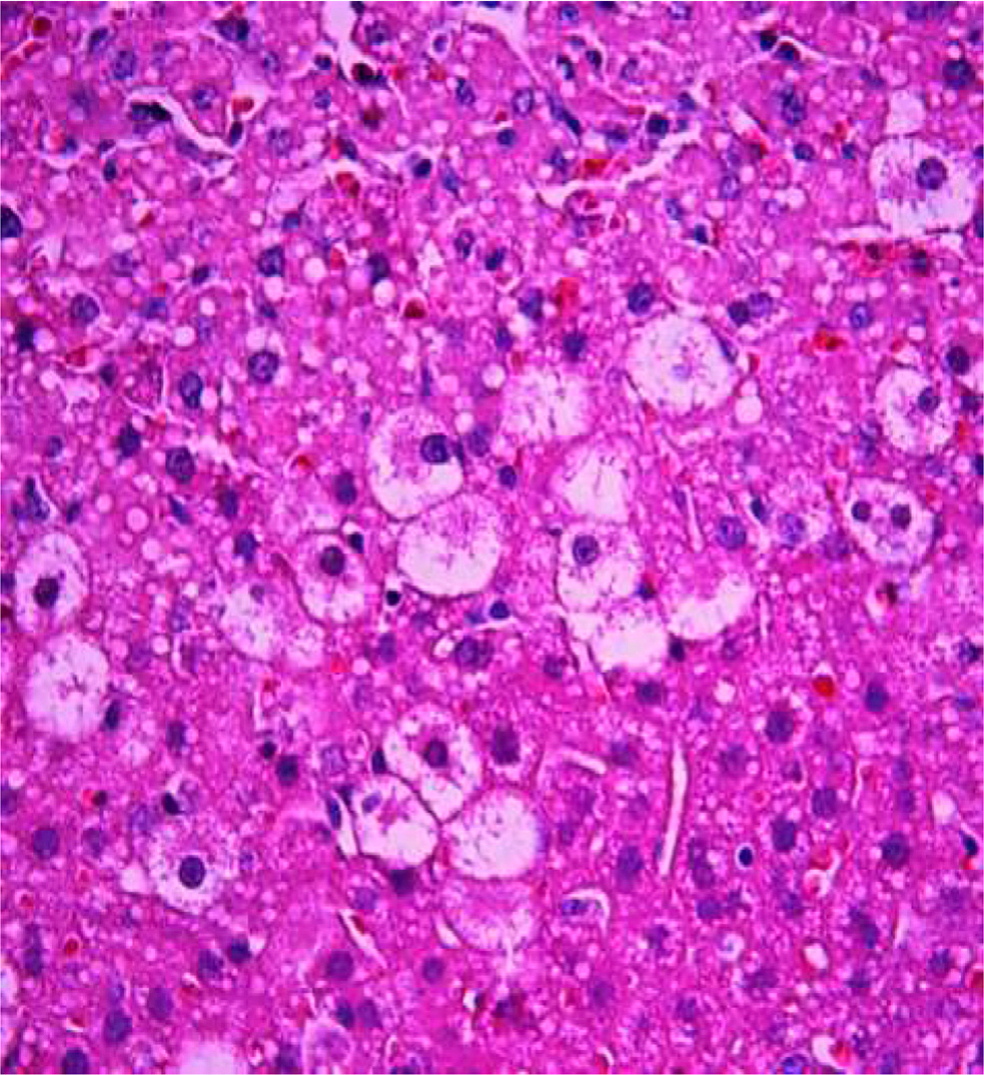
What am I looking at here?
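Liver parenchyma in which the hepatocytes show widespread degenerative change. Clusters of markedly swollen, rounded hepatocytes have pale, finely strand-like, cleared cytoplasm and a single round, centrally placed dark nucleus, sometimes with a visible nucleolus. The surrounding hepatocytes keep pink cytoplasm but it is filled with numerous small, round, clear vacuoles of varying size. Nuclei are round and purple. Between the cell cords, narrow sinusoidal channels are lined by flattened elongated cells and contain red blood cells, most evident in the upper part of the field. The normal cord arrangement is partly obscured by the swelling.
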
